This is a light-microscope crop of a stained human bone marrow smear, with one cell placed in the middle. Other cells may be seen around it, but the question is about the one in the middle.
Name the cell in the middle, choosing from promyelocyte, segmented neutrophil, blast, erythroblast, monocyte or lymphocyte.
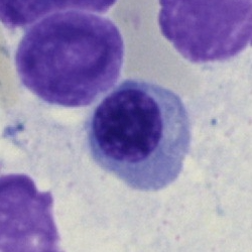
erythroblast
